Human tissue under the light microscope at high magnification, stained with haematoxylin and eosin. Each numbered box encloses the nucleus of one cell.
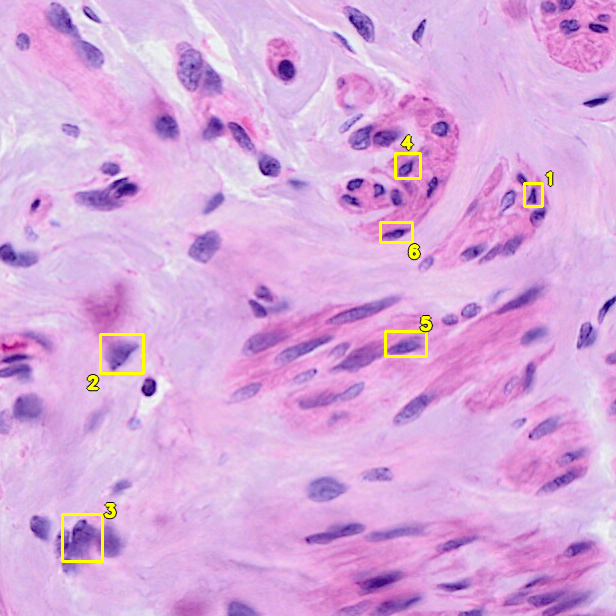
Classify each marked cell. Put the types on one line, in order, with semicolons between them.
smooth muscle cell; fibroblast; fibroblast; smooth muscle cell; smooth muscle cell; smooth muscle cell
